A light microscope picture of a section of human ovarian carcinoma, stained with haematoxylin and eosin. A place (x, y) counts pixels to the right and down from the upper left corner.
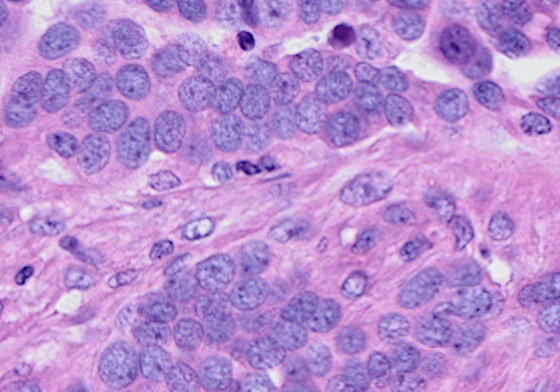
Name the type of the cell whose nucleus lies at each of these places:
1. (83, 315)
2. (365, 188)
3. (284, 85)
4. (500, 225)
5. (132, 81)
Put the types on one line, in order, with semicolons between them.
fibroblast; fibroblast; carcinoma cell; fibroblast; carcinoma cell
